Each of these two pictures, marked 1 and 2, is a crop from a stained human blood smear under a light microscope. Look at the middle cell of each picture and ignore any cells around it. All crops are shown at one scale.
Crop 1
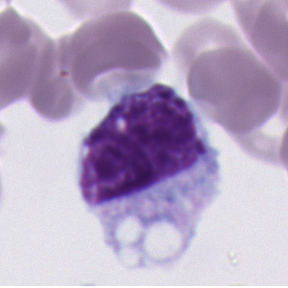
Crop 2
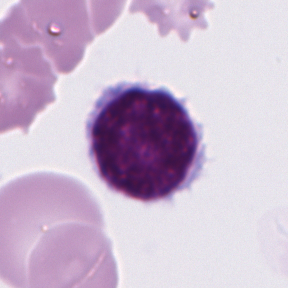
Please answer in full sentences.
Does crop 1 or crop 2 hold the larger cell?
The cell in crop 1 is larger, with about 1.5 times the area of the one in crop 2.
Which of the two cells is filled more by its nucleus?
In crop 2 the nucleus takes up the larger part of its cell.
